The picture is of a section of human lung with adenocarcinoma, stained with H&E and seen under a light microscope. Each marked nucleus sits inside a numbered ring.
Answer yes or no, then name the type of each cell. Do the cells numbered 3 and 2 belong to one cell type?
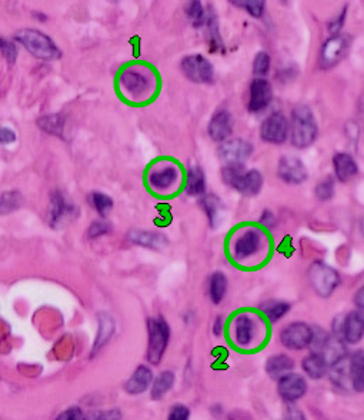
No, cell 3 is a mast cell and cell 2 is a lymphocyte.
